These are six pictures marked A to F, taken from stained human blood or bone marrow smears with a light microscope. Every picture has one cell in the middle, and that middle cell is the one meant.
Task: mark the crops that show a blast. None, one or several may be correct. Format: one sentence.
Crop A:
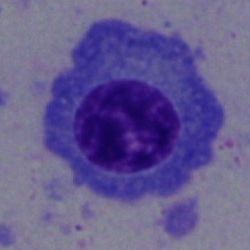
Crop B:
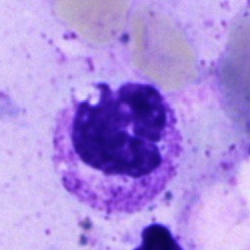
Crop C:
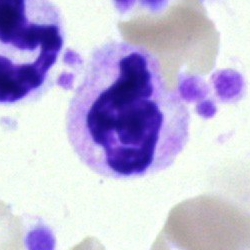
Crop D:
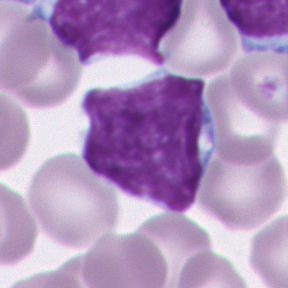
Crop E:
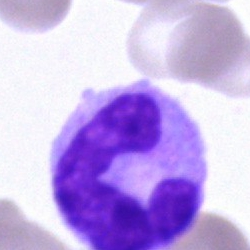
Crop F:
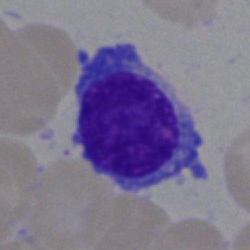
Every crop centres on a cell other than a blast.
